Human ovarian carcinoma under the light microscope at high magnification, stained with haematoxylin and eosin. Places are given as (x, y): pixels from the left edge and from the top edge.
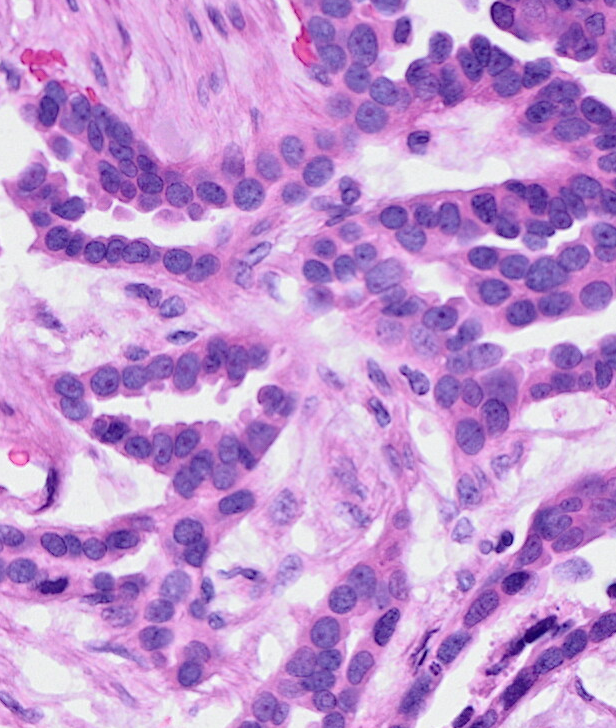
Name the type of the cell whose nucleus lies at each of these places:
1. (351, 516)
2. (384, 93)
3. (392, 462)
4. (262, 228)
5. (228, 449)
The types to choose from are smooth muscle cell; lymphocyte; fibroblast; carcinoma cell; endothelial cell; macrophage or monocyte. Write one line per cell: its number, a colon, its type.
1: fibroblast
2: carcinoma cell
3: fibroblast
4: fibroblast
5: carcinoma cell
